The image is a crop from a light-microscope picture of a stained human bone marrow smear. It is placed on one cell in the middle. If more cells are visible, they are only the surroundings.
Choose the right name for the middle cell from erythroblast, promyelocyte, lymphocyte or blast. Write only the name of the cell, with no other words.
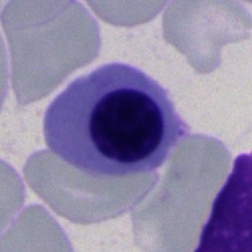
erythroblast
